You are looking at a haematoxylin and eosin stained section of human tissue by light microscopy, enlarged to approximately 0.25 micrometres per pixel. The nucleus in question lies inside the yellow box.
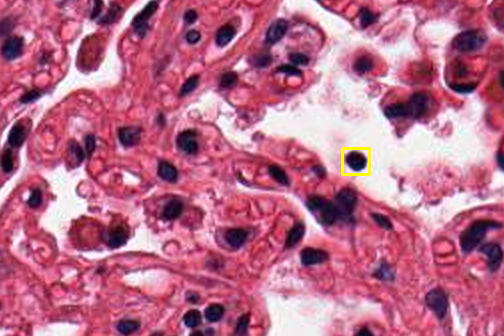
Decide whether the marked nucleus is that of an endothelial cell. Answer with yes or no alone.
no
